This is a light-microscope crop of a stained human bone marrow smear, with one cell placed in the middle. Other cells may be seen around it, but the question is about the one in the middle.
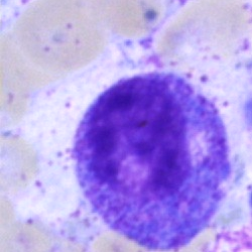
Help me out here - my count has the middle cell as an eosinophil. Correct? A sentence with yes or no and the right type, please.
No, it is a promyelocyte that sits in the middle, not an eosinophil.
